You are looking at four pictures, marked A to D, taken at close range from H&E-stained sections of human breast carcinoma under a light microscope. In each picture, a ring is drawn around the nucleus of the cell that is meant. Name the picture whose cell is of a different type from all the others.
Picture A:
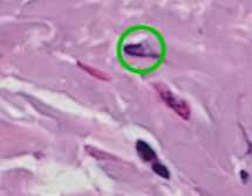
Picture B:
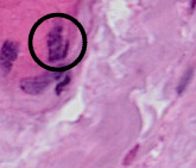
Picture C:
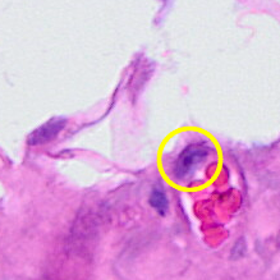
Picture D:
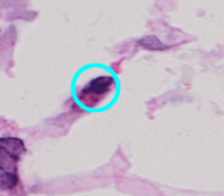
A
